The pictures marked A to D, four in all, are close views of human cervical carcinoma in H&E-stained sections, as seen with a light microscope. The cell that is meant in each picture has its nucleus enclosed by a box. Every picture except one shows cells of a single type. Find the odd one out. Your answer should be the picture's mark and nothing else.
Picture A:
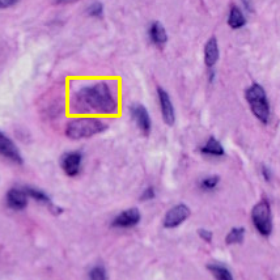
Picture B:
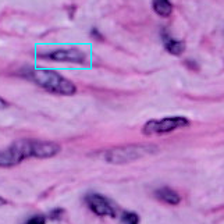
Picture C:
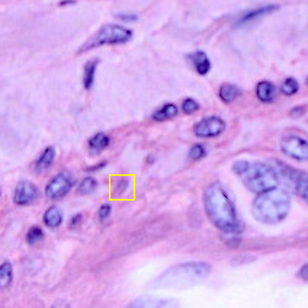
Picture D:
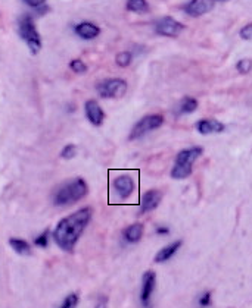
A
